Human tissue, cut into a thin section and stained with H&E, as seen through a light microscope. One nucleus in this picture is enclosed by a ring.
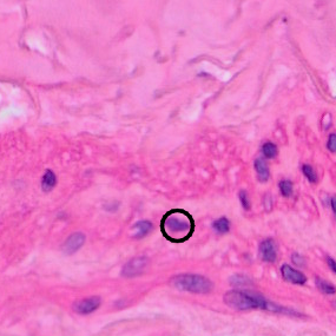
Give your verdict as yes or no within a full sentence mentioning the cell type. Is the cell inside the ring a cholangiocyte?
No, the cell inside the ring is to be identified as a smooth muscle cell or pericyte, not a cholangiocyte.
